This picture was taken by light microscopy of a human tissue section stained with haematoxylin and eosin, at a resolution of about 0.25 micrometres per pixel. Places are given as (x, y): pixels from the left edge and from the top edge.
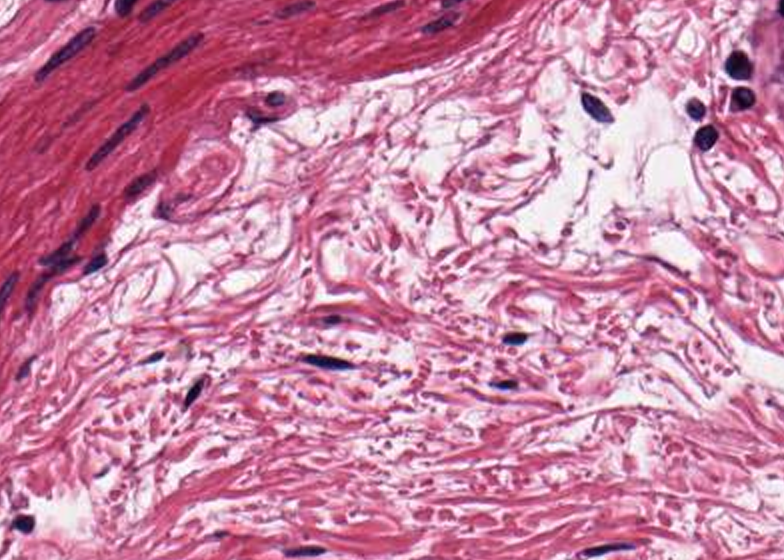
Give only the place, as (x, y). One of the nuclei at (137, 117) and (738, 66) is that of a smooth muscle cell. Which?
(137, 117)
